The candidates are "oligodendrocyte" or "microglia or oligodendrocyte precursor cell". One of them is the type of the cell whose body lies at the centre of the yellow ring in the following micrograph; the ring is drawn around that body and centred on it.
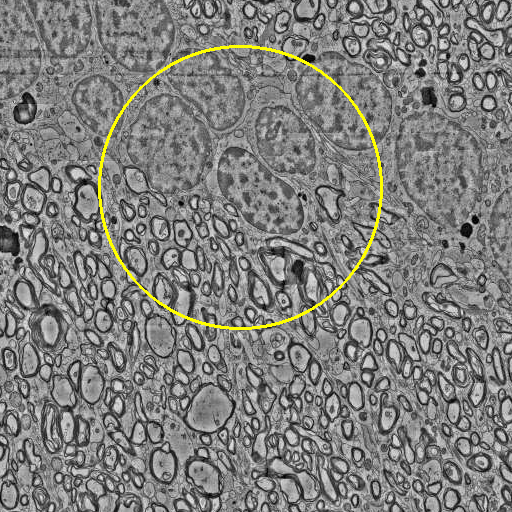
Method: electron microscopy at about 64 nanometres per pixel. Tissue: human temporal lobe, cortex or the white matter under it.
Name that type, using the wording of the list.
microglia or oligodendrocyte precursor cell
